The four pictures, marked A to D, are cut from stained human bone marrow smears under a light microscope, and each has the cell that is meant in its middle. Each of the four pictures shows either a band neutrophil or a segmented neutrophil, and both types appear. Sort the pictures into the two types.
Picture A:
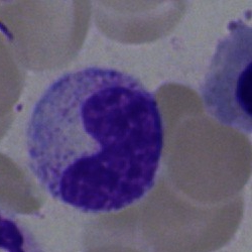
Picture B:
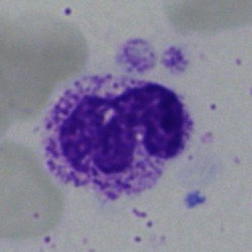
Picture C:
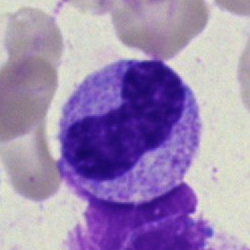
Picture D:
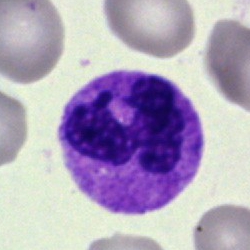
A: band neutrophil
B: segmented neutrophil
C: band neutrophil
D: segmented neutrophil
